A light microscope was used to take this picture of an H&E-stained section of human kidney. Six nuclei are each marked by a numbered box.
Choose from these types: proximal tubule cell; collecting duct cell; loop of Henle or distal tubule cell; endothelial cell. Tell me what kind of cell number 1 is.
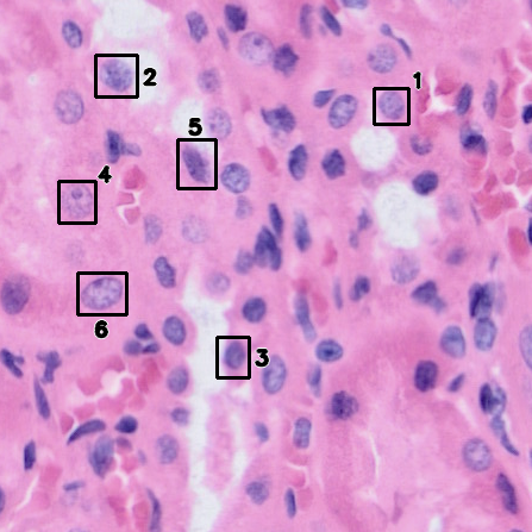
loop of Henle or distal tubule cell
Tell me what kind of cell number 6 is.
proximal tubule cell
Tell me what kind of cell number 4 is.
proximal tubule cell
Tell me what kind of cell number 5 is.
loop of Henle or distal tubule cell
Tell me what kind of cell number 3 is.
loop of Henle or distal tubule cell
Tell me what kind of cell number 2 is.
loop of Henle or distal tubule cell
